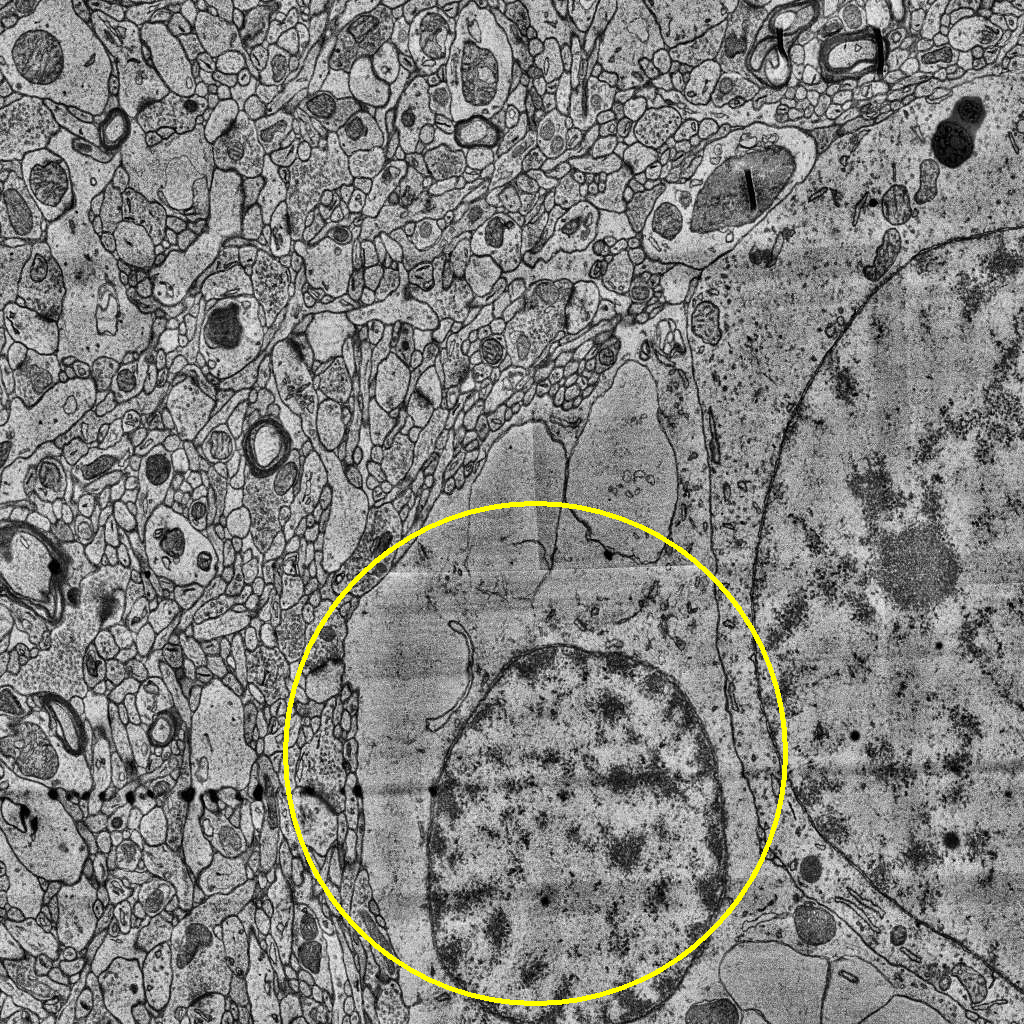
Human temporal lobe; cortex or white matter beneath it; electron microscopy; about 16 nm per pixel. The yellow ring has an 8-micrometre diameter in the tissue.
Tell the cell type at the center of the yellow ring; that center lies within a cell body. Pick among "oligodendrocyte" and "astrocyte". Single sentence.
The ring's center lies in the body of an astrocyte.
